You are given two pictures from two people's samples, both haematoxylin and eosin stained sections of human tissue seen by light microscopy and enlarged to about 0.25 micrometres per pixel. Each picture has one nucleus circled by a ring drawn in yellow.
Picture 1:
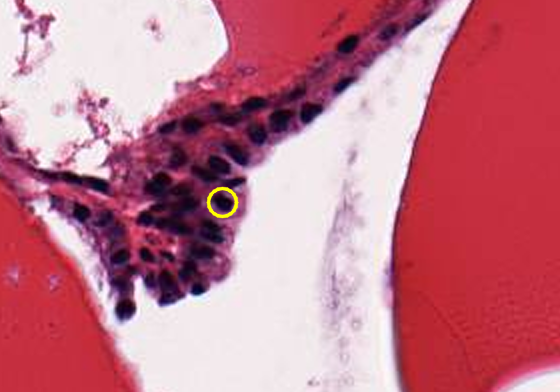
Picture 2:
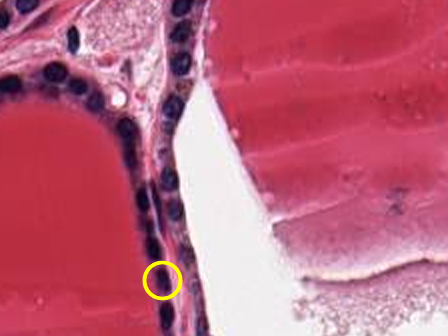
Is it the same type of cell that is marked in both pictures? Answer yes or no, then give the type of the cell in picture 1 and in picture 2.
Yes, both are thyroid follicular cells.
